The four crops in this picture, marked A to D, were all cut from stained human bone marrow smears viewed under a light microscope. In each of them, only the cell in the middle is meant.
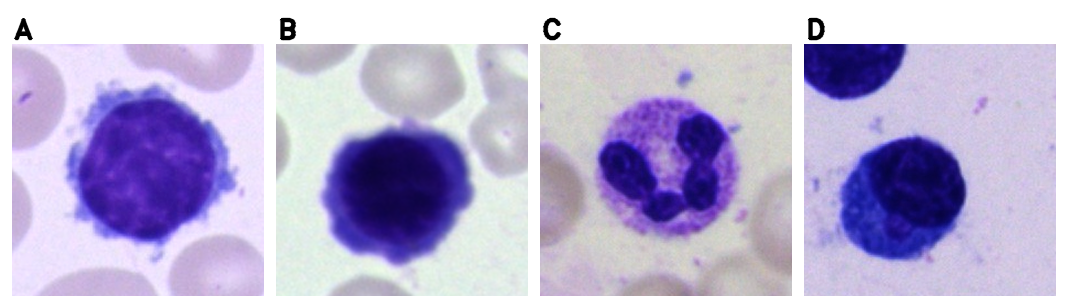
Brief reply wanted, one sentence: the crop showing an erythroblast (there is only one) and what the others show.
The middle cell of crop B is an erythroblast, while crop A is a lymphocyte, crop C is a segmented neutrophil and crop D is a plasma cell.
